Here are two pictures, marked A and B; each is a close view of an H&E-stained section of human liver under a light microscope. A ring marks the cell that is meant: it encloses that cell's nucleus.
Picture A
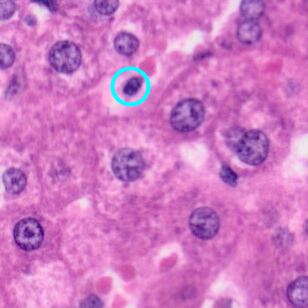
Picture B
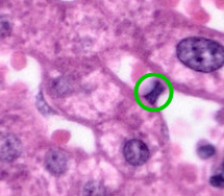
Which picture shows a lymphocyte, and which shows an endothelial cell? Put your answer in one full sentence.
The cell in picture A is a lymphocyte, and the one in picture B is an endothelial cell.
